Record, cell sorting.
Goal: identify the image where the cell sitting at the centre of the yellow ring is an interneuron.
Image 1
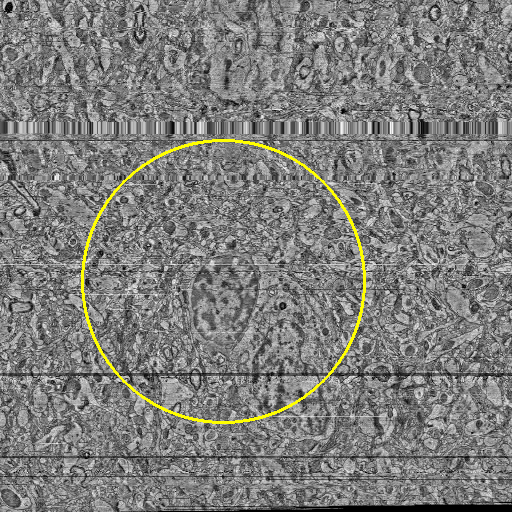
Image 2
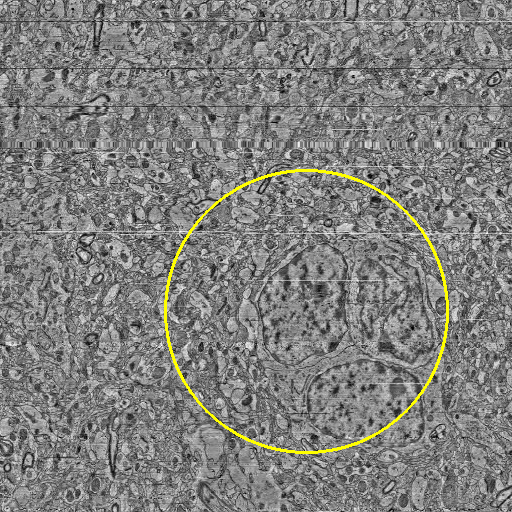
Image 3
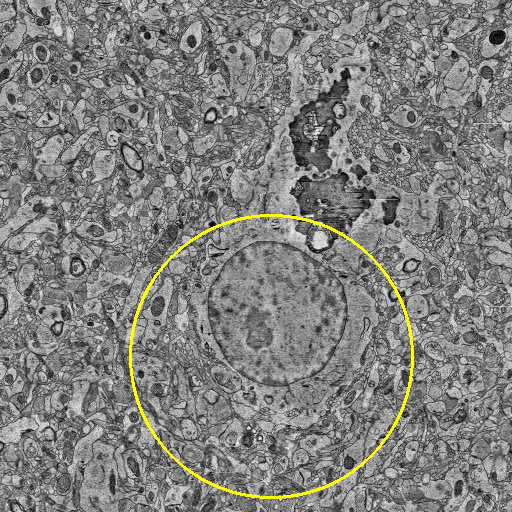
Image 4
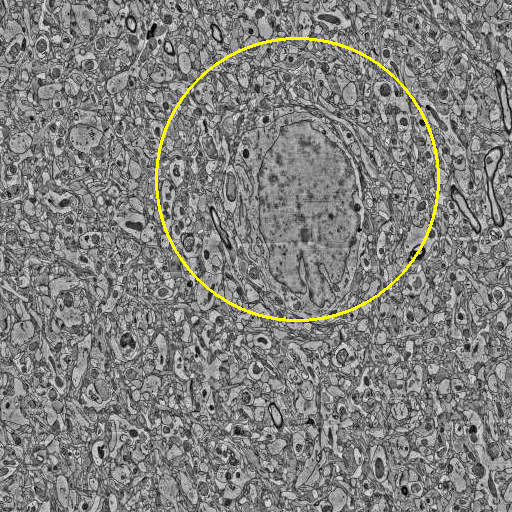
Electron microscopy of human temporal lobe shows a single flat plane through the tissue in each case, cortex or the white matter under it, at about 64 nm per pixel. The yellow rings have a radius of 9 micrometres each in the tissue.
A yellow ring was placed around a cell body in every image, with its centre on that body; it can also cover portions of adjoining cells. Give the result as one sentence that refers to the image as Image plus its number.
Image 4 shows the requested cell sitting right at the centre of its ring.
